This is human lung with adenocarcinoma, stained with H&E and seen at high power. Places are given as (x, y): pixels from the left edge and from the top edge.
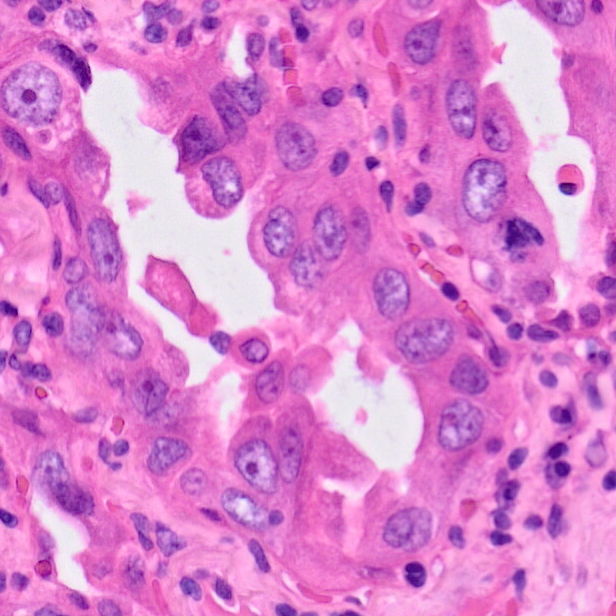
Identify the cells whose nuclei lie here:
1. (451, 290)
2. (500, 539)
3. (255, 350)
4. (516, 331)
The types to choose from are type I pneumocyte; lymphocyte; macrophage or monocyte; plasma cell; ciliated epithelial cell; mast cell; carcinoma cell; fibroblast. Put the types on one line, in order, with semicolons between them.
lymphocyte; lymphocyte; macrophage or monocyte; lymphocyte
